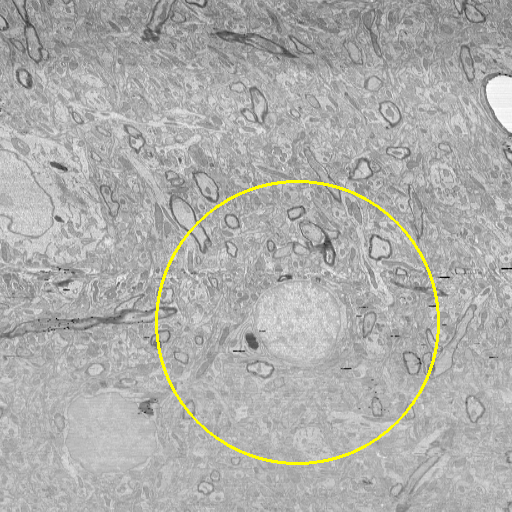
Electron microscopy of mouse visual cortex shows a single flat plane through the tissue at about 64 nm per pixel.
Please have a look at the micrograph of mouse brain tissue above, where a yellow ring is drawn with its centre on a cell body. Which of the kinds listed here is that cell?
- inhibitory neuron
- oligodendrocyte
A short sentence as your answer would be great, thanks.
At the centre of the ring sits an oligodendrocyte.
